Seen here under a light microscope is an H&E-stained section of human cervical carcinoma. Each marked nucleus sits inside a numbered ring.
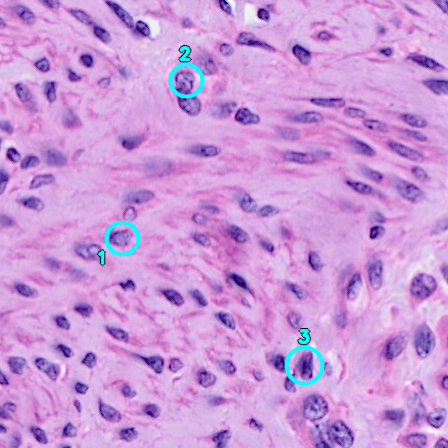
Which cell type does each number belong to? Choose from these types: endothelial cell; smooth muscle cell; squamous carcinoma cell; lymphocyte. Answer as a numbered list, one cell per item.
1. smooth muscle cell
2. endothelial cell
3. lymphocyte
